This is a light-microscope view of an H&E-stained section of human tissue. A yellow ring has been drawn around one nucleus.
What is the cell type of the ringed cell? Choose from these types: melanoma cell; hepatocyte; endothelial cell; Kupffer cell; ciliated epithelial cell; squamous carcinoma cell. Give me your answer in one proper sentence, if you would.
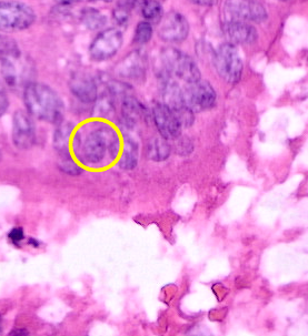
The identity of the ringed cell is that of a ciliated epithelial cell.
